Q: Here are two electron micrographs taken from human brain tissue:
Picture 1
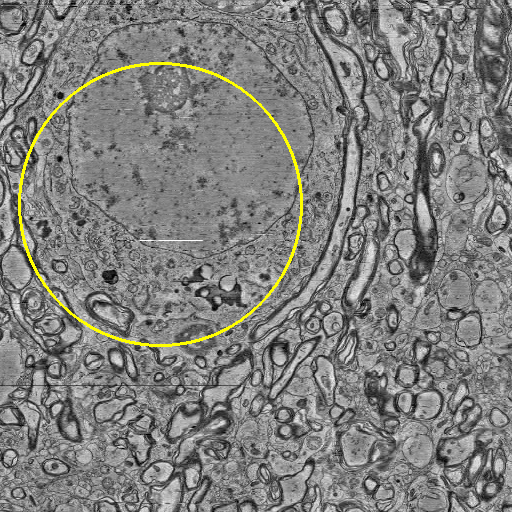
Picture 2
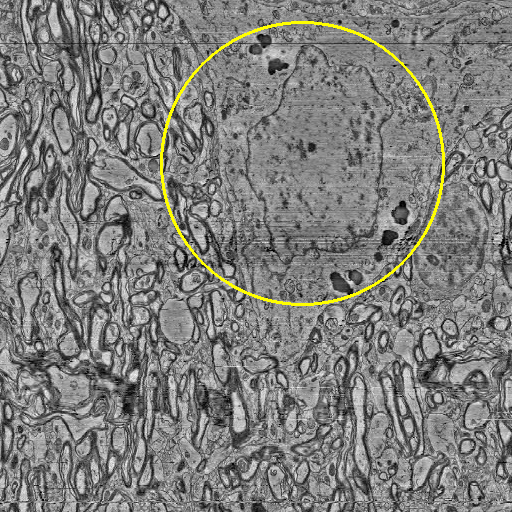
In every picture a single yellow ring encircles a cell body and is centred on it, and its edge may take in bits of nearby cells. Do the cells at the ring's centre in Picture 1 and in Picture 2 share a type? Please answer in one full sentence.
Yes, the cells at the ring's centre in Picture 1 and Picture 2 share a type.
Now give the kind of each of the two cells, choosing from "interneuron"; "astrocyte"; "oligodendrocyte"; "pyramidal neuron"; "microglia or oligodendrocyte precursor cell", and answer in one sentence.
Each one of the two ringed cells is a pyramidal neuron.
